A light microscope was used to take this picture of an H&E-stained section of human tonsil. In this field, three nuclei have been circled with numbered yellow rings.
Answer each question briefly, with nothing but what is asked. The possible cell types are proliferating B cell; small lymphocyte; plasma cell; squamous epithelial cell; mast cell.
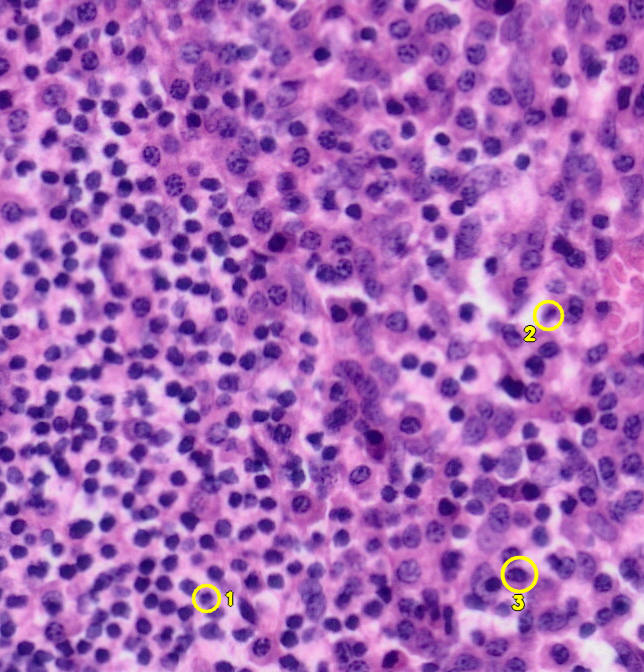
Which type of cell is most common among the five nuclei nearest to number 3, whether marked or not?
plasma cell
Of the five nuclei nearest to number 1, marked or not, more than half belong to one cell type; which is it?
small lymphocyte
